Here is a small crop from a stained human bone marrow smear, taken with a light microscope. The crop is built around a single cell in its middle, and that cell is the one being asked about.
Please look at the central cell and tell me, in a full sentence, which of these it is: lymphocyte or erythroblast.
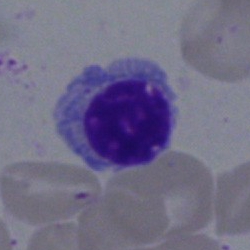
This crop is built around an erythroblast at its centre.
